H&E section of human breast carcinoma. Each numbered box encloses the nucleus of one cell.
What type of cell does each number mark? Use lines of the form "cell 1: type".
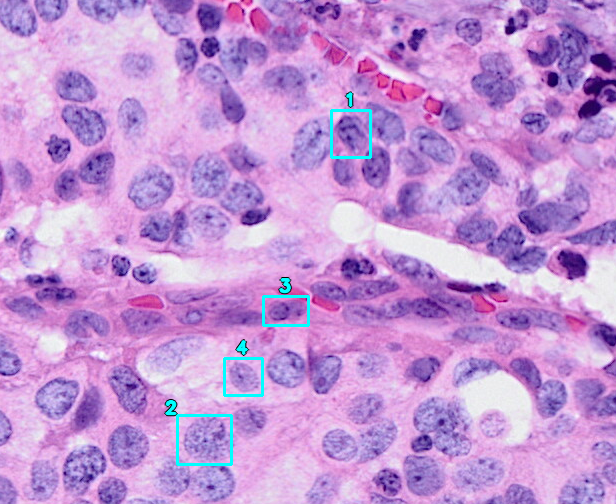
cell 1: carcinoma cell
cell 2: carcinoma cell
cell 3: endothelial cell
cell 4: carcinoma cell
